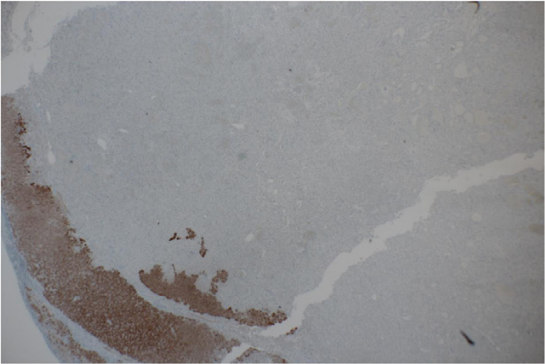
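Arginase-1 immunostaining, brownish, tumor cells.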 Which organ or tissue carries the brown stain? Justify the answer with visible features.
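A brown-stained band runs along the lower left edge of the section. The large remaining area is unstained and pale blue-grey. The border between brown and unstained tissue is sharp. That points to this answer: normal hepatic cells.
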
